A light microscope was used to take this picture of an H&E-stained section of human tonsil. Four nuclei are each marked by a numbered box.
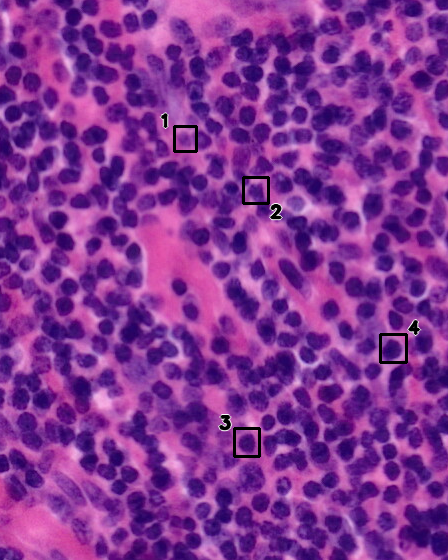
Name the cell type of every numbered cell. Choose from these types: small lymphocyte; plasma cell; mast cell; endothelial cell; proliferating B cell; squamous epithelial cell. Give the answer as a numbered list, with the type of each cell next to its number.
1. endothelial cell
2. small lymphocyte
3. endothelial cell
4. small lymphocyte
